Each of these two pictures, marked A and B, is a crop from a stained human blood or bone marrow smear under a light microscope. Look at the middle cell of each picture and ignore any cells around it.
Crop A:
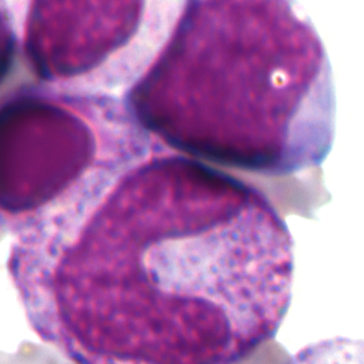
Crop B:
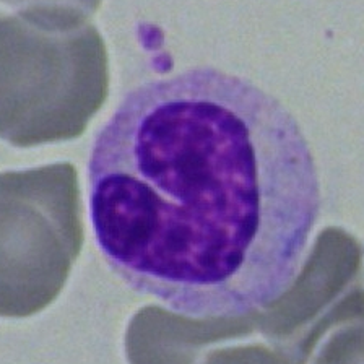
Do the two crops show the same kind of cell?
yes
